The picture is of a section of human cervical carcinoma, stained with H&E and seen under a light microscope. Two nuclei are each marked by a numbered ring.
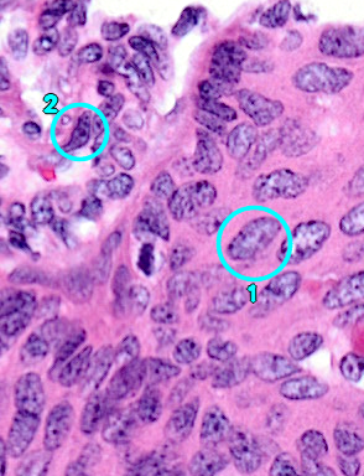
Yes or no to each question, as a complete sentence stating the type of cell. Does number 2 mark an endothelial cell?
Yes, the cell referred to as number 2 is an endothelial cell.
